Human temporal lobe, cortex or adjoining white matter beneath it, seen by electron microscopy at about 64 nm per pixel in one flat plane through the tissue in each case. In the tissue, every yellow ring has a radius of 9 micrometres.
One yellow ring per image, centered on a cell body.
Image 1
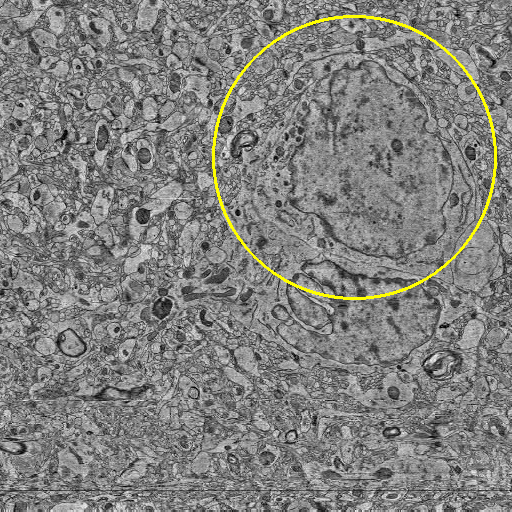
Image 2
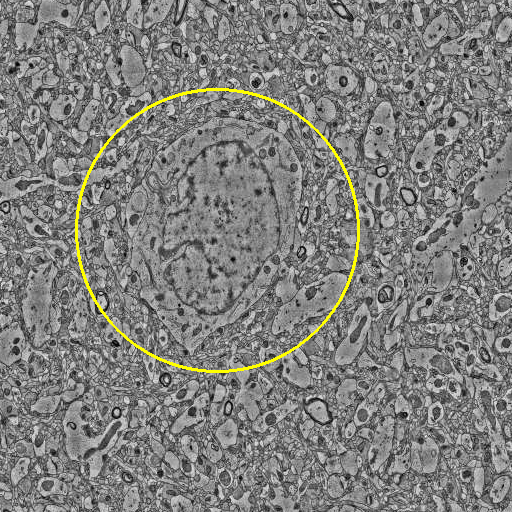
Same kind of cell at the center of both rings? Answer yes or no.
yes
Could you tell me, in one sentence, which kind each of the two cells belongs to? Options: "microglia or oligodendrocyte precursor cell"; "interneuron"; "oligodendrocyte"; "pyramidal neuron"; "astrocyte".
Both the first and the second picture show an interneuron in the ring.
